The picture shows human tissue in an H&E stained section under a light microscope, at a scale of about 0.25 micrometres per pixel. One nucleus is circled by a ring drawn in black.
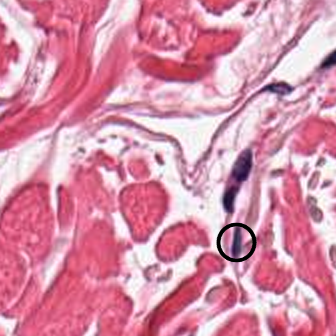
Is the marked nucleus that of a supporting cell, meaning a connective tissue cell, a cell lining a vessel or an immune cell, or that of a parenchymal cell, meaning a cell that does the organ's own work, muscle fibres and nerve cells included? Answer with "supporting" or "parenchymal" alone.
supporting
